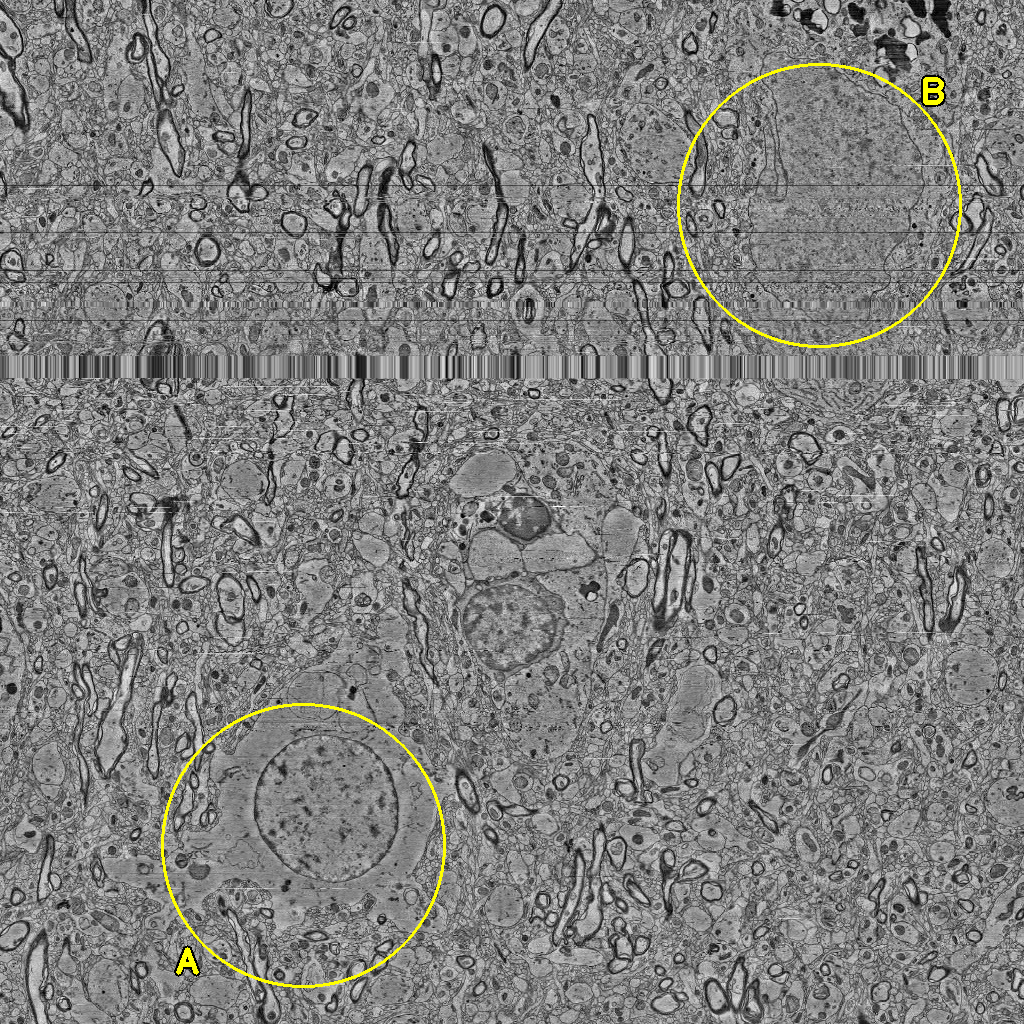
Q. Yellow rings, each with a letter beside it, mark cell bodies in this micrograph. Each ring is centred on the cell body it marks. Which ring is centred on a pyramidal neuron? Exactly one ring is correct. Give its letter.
B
